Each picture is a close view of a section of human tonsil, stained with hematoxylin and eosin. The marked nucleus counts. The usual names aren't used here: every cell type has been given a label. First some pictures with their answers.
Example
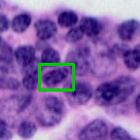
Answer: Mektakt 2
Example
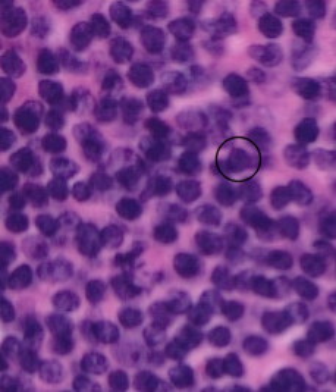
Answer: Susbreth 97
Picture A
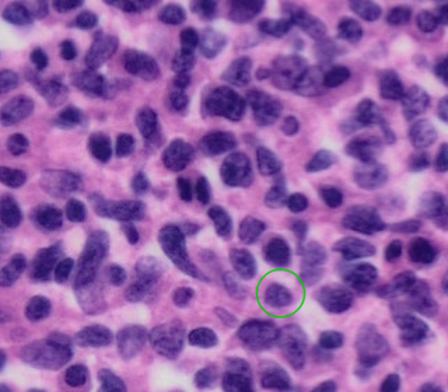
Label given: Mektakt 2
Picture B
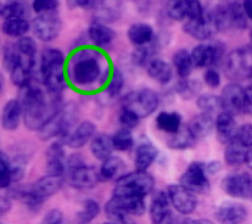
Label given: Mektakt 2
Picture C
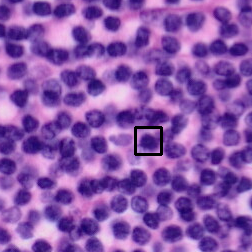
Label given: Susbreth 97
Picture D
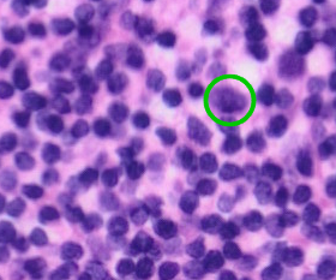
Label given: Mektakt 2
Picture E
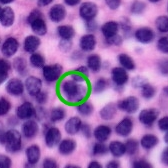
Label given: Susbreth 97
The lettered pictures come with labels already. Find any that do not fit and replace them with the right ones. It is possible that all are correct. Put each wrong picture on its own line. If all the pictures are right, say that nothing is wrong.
All correct.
